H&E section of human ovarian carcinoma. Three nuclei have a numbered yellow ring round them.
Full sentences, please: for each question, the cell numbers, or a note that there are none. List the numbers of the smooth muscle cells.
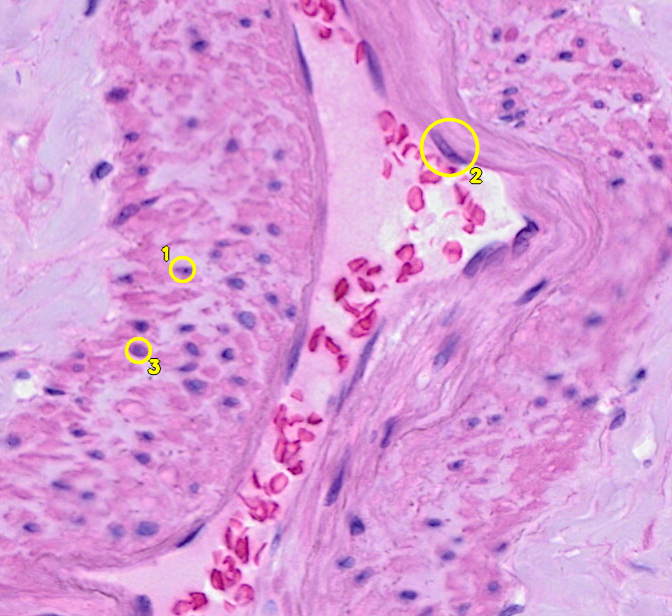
The cells picked out by numbers 1 and 3 are smooth muscle cells.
